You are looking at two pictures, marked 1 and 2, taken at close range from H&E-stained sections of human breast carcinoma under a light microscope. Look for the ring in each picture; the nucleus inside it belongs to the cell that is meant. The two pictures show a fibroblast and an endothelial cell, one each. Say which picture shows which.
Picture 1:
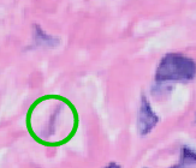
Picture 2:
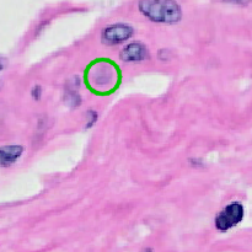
1: fibroblast
2: endothelial cell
